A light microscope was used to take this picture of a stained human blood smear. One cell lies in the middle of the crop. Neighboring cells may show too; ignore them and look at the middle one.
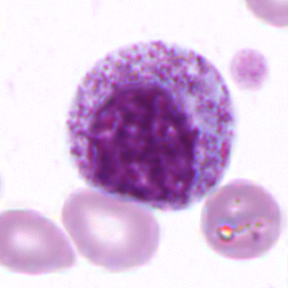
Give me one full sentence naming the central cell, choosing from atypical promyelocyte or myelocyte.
Here the cell in the middle is a myelocyte.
